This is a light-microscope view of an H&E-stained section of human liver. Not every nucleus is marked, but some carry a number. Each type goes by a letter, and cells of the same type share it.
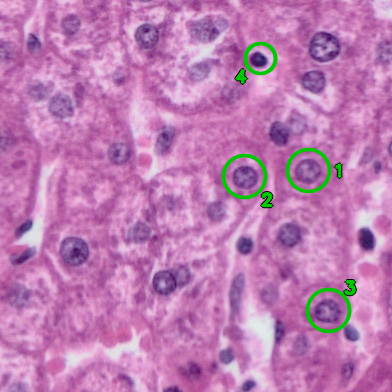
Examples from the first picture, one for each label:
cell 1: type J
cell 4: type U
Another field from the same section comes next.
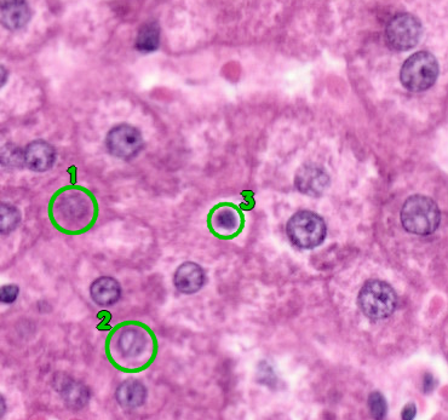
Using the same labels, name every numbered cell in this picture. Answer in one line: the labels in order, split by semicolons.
type J; type J; type U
